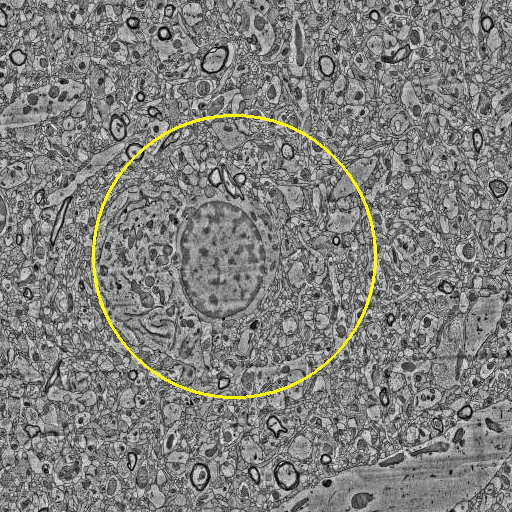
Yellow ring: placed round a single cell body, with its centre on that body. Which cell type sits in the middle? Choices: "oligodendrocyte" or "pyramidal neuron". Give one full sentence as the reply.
It is an oligodendrocyte whose cell body sits at the centre of the yellow ring.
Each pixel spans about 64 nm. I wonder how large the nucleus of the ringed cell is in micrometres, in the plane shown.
Approximately 7 by 5 micrometers in this plane.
